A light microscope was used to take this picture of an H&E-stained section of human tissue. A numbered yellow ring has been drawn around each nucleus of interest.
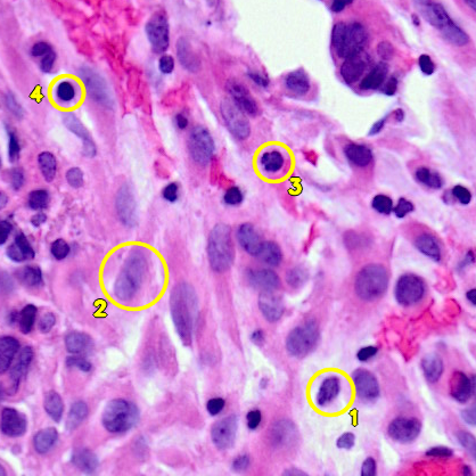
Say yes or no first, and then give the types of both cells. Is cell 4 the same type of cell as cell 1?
Yes, both are lymphocytes.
